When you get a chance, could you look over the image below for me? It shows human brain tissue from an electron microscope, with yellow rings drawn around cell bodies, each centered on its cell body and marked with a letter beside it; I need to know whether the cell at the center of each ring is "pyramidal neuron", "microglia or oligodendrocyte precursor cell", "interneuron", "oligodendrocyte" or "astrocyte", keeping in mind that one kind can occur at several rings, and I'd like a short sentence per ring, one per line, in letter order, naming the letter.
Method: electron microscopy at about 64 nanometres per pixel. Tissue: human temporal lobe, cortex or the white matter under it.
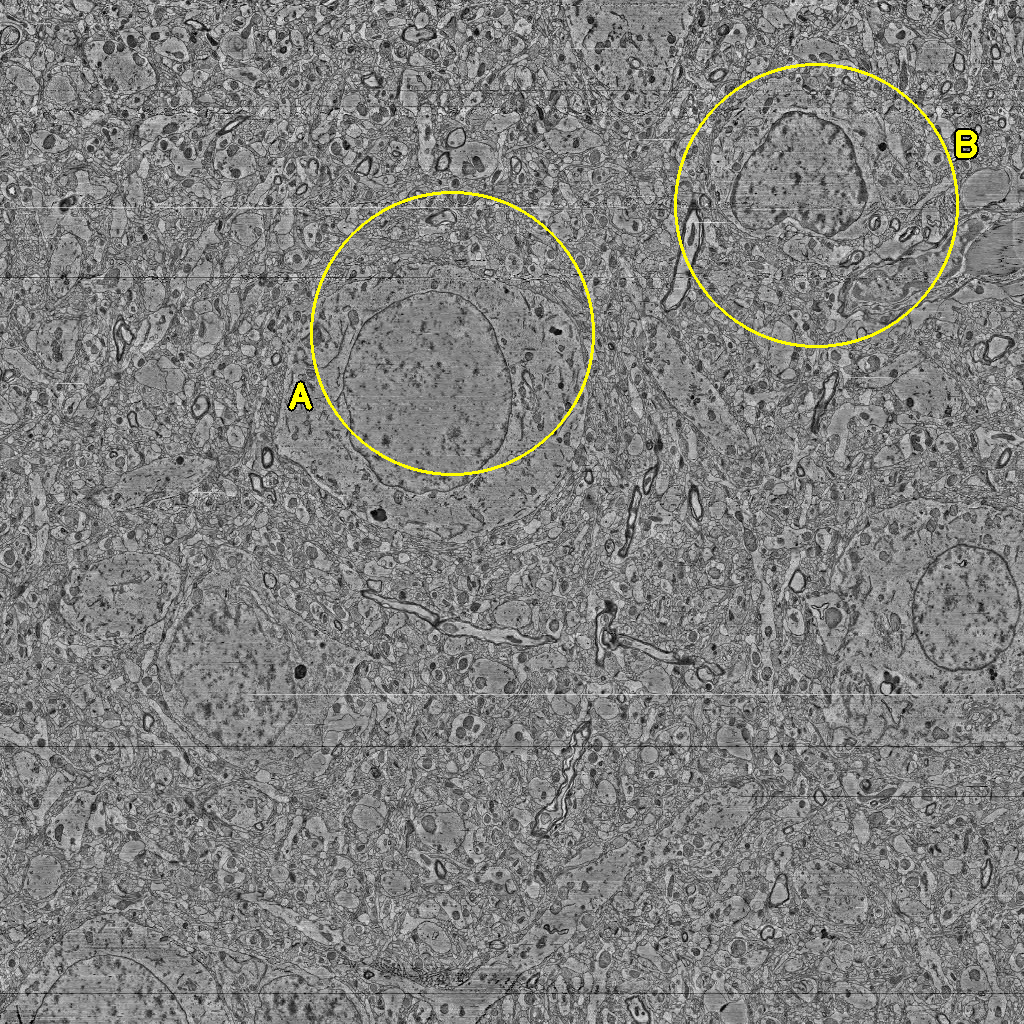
Ring A is centered on a pyramidal neuron.
Ring B is centered on a microglial cell or oligodendrocyte precursor cell.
